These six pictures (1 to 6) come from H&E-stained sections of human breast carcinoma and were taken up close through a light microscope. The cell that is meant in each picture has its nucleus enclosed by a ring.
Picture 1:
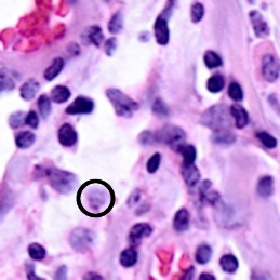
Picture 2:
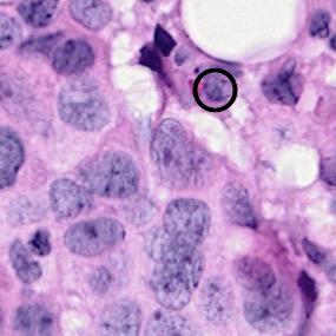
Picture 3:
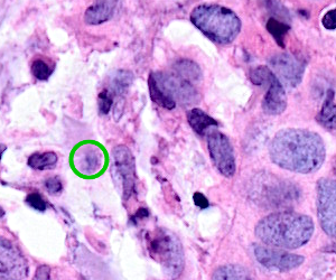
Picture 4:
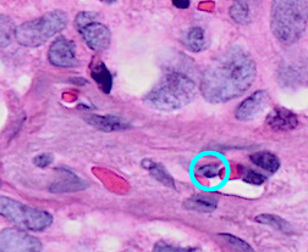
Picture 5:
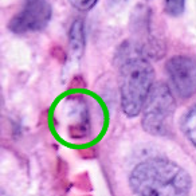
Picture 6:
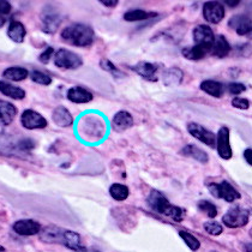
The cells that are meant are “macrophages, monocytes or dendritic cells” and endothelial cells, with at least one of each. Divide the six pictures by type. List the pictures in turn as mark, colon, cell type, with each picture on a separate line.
1: macrophage, monocyte or dendritic cell
2: endothelial cell
3: macrophage, monocyte or dendritic cell
4: endothelial cell
5: endothelial cell
6: macrophage, monocyte or dendritic cell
